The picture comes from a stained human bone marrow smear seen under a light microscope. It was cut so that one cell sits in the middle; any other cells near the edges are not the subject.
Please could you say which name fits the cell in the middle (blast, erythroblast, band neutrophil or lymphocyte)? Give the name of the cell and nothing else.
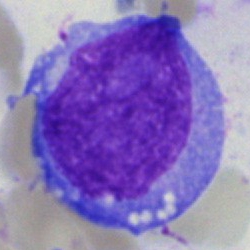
blast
